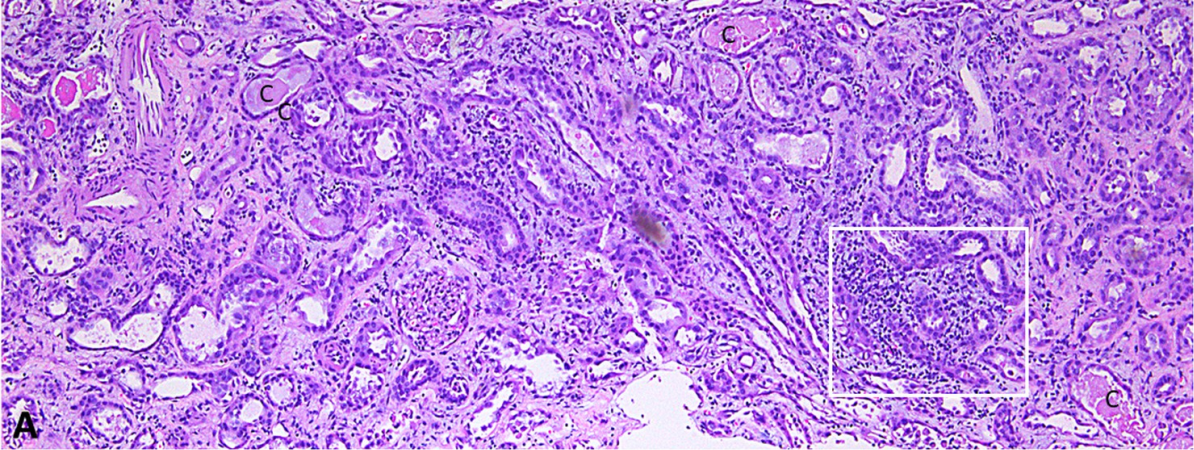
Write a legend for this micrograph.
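This is renal cortex with diffuse interstitial inflammation among tubules and a glomerulus. The interstitium is widened and crowded by small round dark-nucleated inflammatory cells, densest in a focal cluster. Several tubules are filled with pale pink homogeneous casts, and many tubules show flattened, irregular epithelium with widened lumens consistent with acute injury.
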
